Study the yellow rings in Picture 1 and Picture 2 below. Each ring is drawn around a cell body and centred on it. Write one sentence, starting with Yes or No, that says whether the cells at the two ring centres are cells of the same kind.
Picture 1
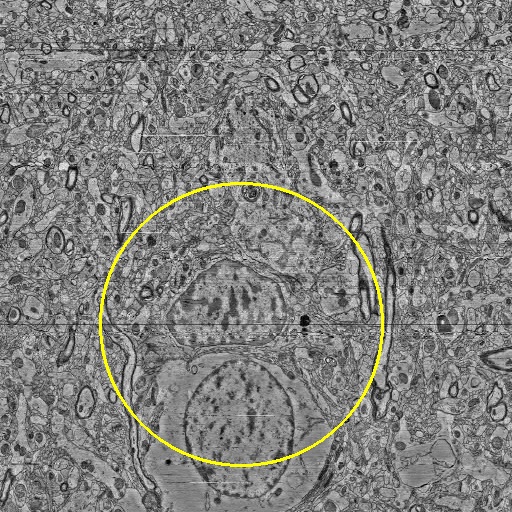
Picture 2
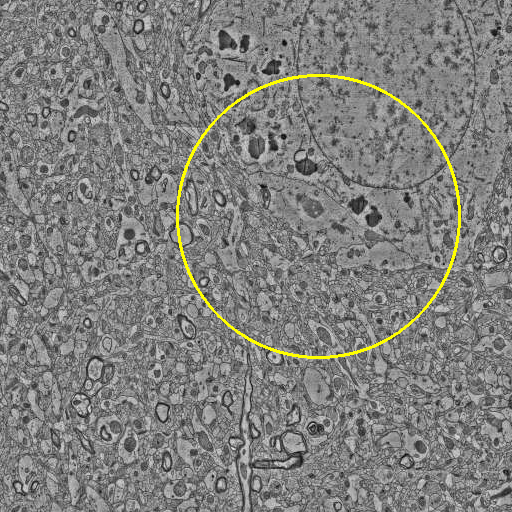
Yes, the cells at both ring centres are of the same kind.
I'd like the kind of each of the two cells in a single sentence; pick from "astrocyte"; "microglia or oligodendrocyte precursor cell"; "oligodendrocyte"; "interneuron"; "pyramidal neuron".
The ring centre holds a microglial cell or oligodendrocyte precursor cell in each of the two pictures.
